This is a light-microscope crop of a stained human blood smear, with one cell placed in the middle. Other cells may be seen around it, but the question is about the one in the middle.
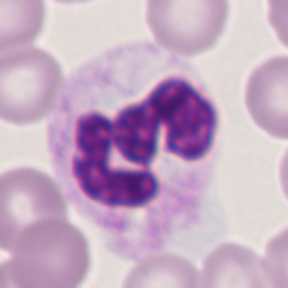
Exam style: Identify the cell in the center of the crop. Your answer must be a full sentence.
As for the cell in the middle, it is a segmented neutrophil.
